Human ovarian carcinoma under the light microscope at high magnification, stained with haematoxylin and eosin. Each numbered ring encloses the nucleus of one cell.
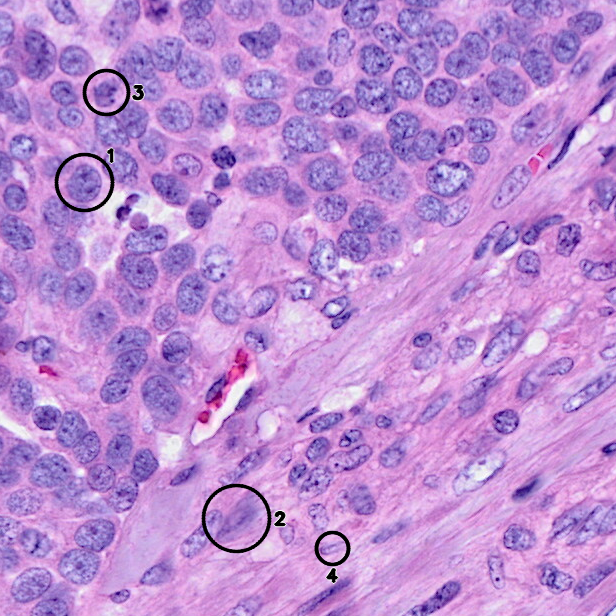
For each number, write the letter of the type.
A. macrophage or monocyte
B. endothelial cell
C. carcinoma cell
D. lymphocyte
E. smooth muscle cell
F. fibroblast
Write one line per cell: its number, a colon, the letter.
1: C
2: F
3: A
4: F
